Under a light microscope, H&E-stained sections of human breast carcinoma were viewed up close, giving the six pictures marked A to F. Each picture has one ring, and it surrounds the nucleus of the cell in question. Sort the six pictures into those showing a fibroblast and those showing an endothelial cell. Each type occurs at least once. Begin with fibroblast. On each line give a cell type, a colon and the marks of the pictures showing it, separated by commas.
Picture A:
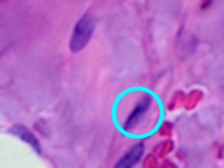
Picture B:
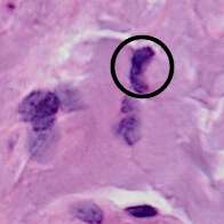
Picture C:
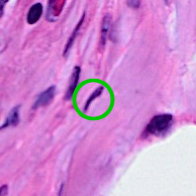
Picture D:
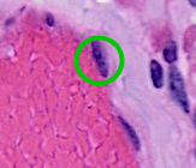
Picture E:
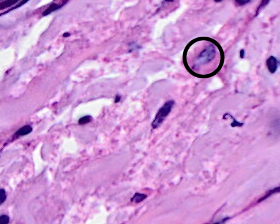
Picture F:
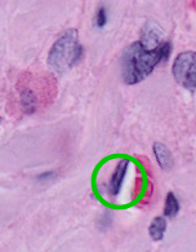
fibroblast: A, B, C
endothelial cell: D, E, F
